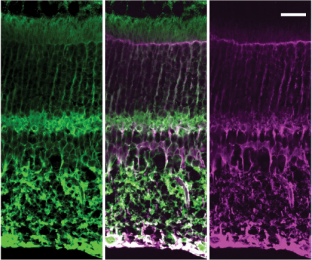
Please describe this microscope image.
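The magenta Müller cell fibres run radially through the full thickness of the tissue, forming a sharp line near the base of the photoreceptor segments and widening into bright endfeet at the inner surface. Green labelling is strongest in the inner plexiform and ganglion cell layers and in a band at the outer plexiform layer, with thin radial green strands crossing the outer nuclear layer. In the merged image the radial green strands and the magenta fibres largely coincide, appearing white.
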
